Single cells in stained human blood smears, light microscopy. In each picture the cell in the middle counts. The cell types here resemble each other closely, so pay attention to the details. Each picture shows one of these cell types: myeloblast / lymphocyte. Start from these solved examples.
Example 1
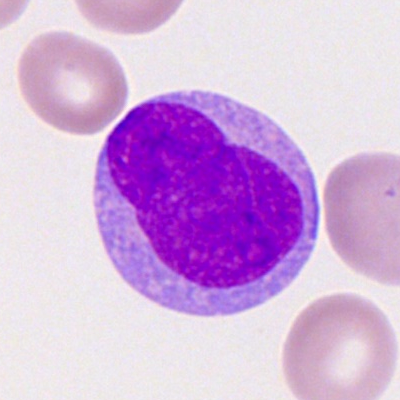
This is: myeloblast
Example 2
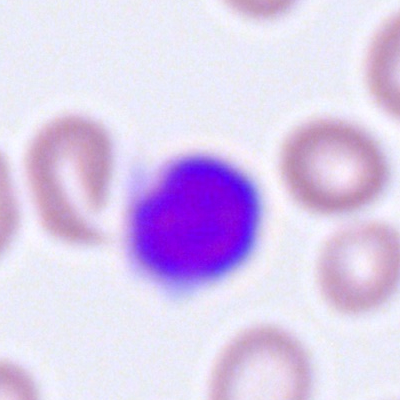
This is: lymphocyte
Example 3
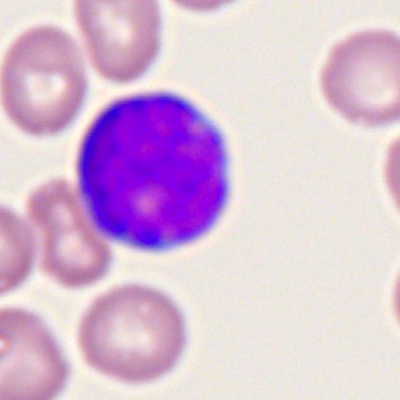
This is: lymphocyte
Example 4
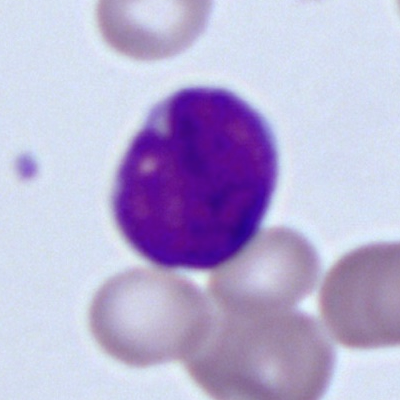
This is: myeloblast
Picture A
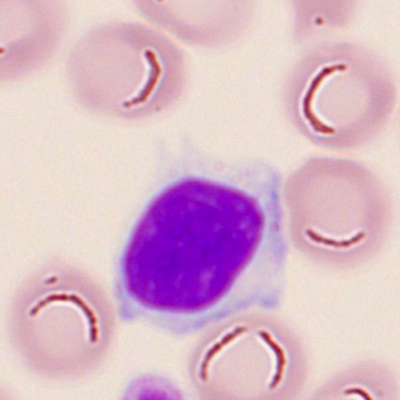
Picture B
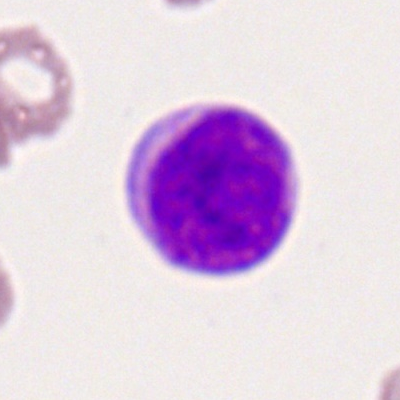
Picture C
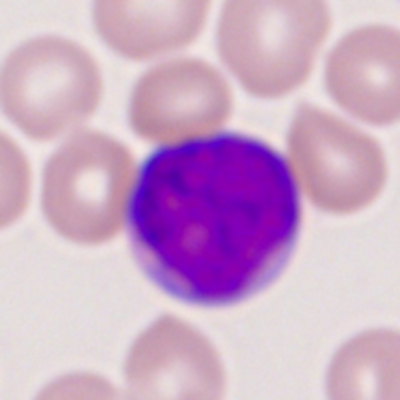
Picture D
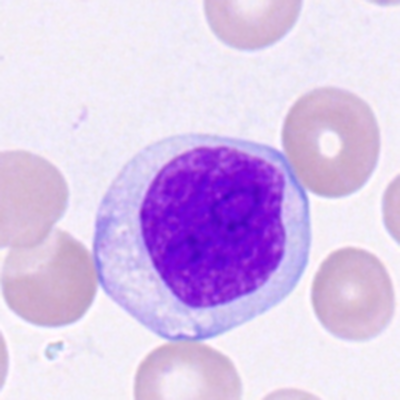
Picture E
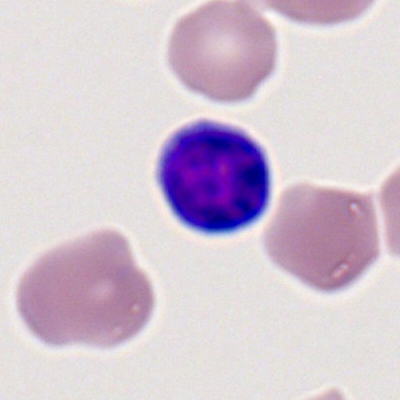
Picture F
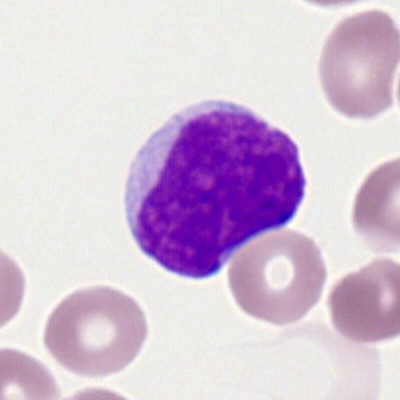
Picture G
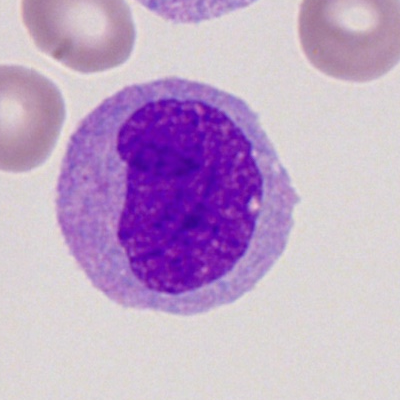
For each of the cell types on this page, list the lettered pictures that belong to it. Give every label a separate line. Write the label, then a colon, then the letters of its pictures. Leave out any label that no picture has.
myeloblast: C, F, G
lymphocyte: A, B, D, E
